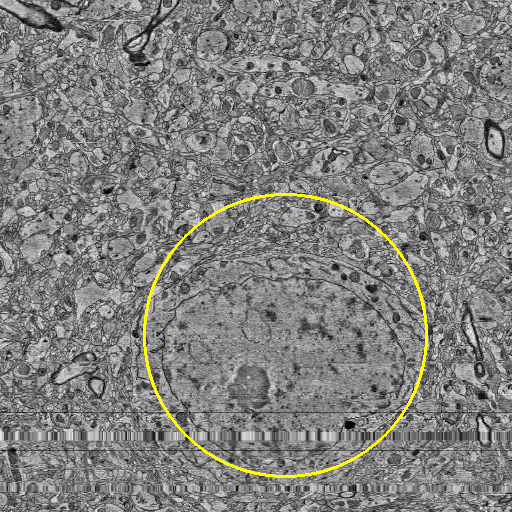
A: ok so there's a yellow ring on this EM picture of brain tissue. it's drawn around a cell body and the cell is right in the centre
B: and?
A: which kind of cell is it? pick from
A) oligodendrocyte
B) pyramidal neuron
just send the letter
B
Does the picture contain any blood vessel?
No.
